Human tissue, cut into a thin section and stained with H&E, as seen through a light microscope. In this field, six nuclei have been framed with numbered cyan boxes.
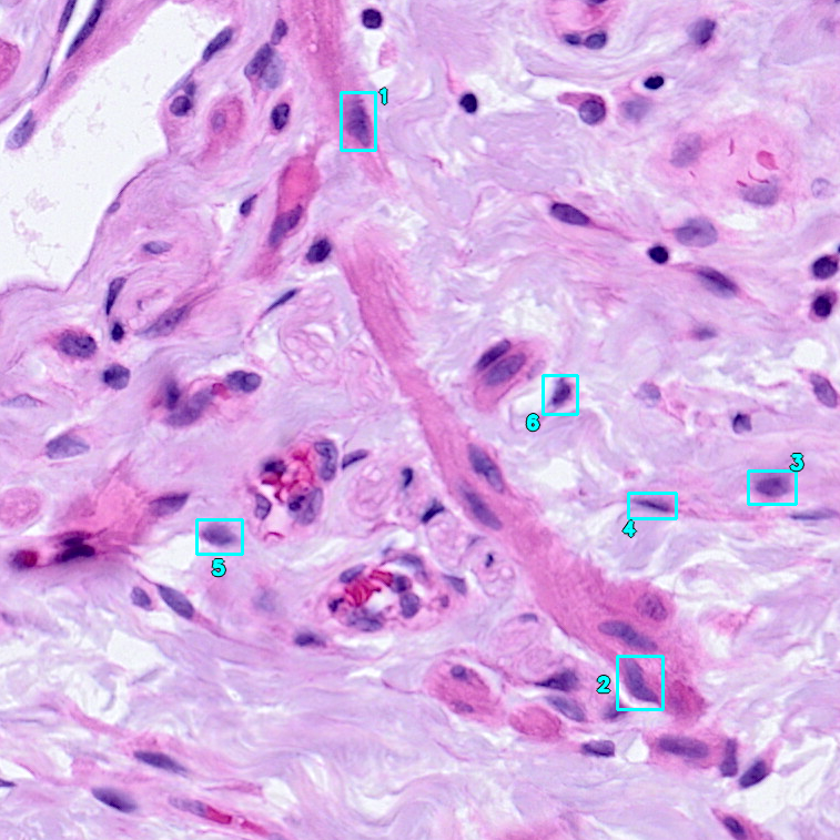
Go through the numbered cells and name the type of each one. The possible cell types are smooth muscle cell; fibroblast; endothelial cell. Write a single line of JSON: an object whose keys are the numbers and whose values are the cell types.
{"1": "smooth muscle cell", "2": "smooth muscle cell", "3": "fibroblast", "4": "fibroblast", "5": "fibroblast", "6": "fibroblast"}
